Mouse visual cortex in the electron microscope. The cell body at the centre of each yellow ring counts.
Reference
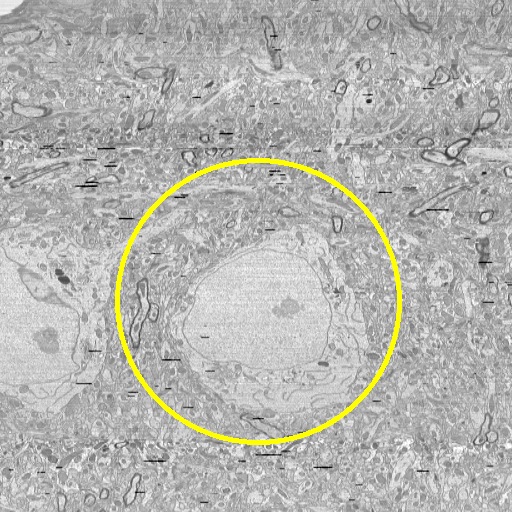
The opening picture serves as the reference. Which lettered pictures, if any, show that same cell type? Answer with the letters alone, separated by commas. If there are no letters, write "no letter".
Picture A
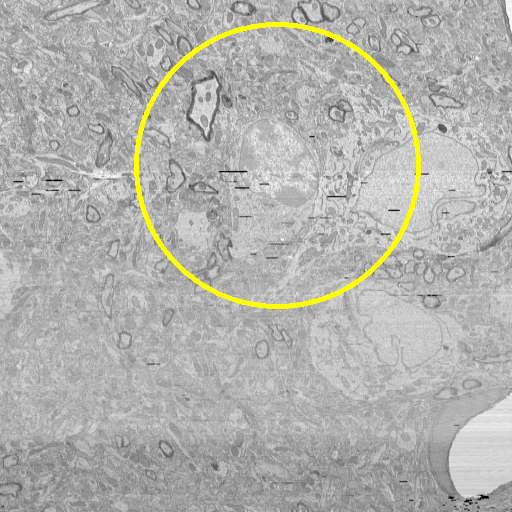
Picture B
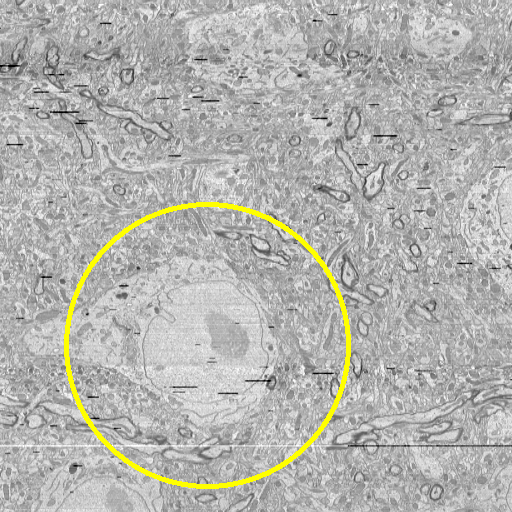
B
